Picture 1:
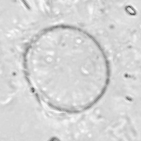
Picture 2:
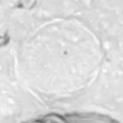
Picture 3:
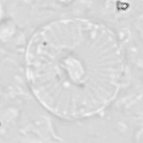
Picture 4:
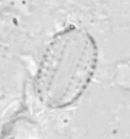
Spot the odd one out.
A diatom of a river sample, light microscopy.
Picture 4 (Amphora among Stephanodiscus).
